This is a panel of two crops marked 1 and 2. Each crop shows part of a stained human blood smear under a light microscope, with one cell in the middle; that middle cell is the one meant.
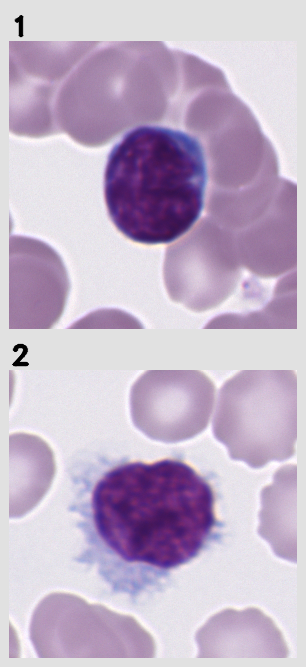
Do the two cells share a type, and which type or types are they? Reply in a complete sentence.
No, crop 1 features a typical lymphocyte, and crop 2 features a hairy cell.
